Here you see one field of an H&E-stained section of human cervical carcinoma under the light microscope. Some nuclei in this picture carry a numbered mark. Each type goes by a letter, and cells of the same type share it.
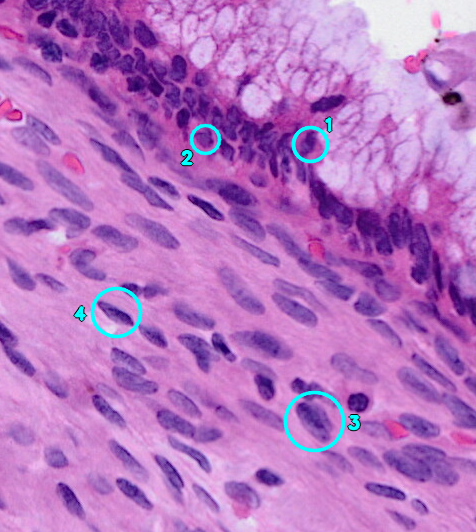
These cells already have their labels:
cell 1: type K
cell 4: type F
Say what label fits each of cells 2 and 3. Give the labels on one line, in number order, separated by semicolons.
type K; type F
